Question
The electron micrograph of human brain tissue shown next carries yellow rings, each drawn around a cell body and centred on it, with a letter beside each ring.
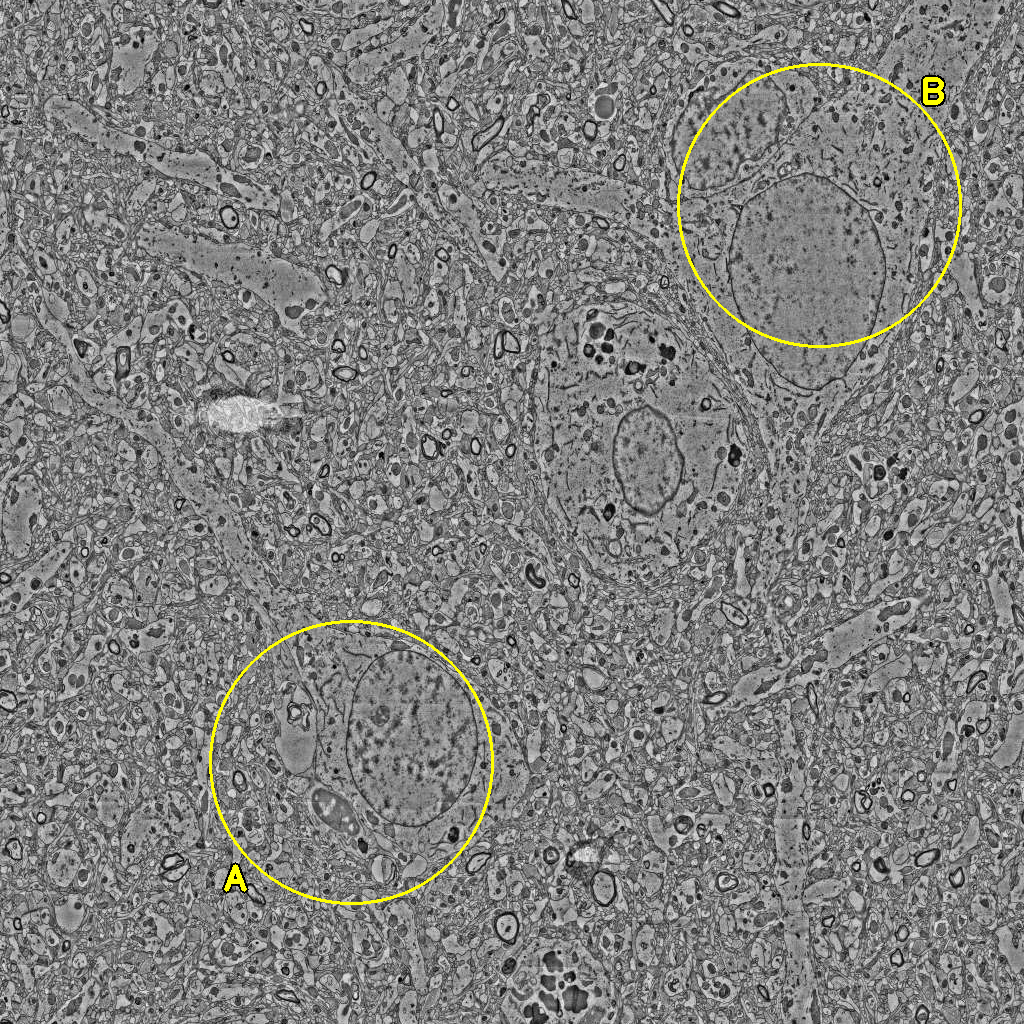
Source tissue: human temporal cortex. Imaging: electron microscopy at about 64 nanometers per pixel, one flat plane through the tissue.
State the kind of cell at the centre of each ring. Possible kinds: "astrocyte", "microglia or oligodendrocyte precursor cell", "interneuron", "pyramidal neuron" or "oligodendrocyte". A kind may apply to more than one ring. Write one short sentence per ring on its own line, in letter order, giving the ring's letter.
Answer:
The cell centred in ring A is a microglial cell or oligodendrocyte precursor cell.
The cell centred in ring B is a pyramidal neuron.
